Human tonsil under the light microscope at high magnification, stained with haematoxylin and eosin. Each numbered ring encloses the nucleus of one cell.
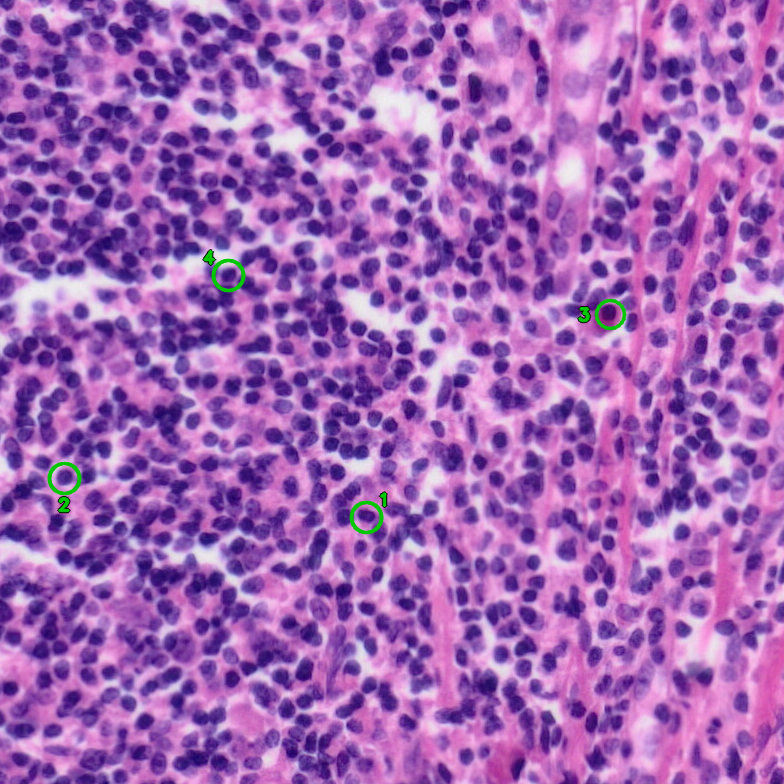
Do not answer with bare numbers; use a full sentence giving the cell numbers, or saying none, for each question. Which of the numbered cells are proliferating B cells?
In short, proliferating B cells do not occur among the numbered cells.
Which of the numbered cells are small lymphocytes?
The cells which carry the numbers 1, 2 and 4 are small lymphocytes.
